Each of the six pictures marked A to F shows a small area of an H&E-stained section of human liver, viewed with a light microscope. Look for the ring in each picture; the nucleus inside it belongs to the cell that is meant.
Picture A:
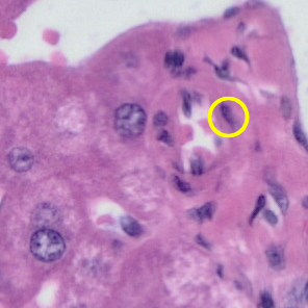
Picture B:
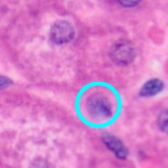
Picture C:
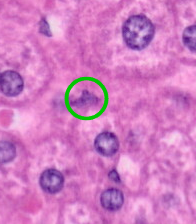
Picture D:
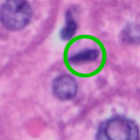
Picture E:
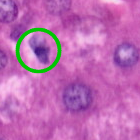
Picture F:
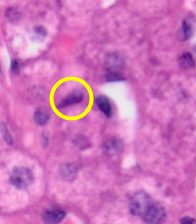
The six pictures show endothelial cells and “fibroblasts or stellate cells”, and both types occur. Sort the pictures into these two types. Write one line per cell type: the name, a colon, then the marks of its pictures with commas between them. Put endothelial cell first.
endothelial cell: B, C, E
fibroblast or stellate cell: A, D, F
